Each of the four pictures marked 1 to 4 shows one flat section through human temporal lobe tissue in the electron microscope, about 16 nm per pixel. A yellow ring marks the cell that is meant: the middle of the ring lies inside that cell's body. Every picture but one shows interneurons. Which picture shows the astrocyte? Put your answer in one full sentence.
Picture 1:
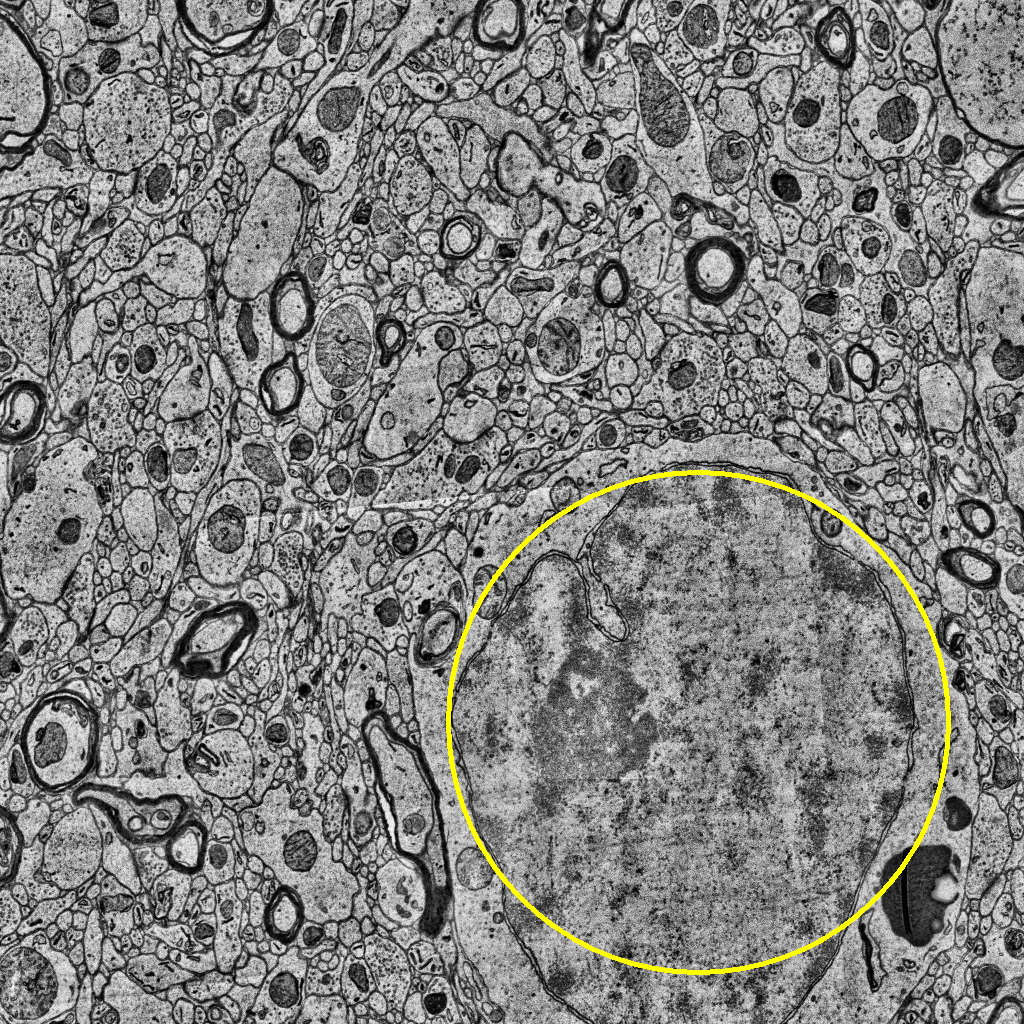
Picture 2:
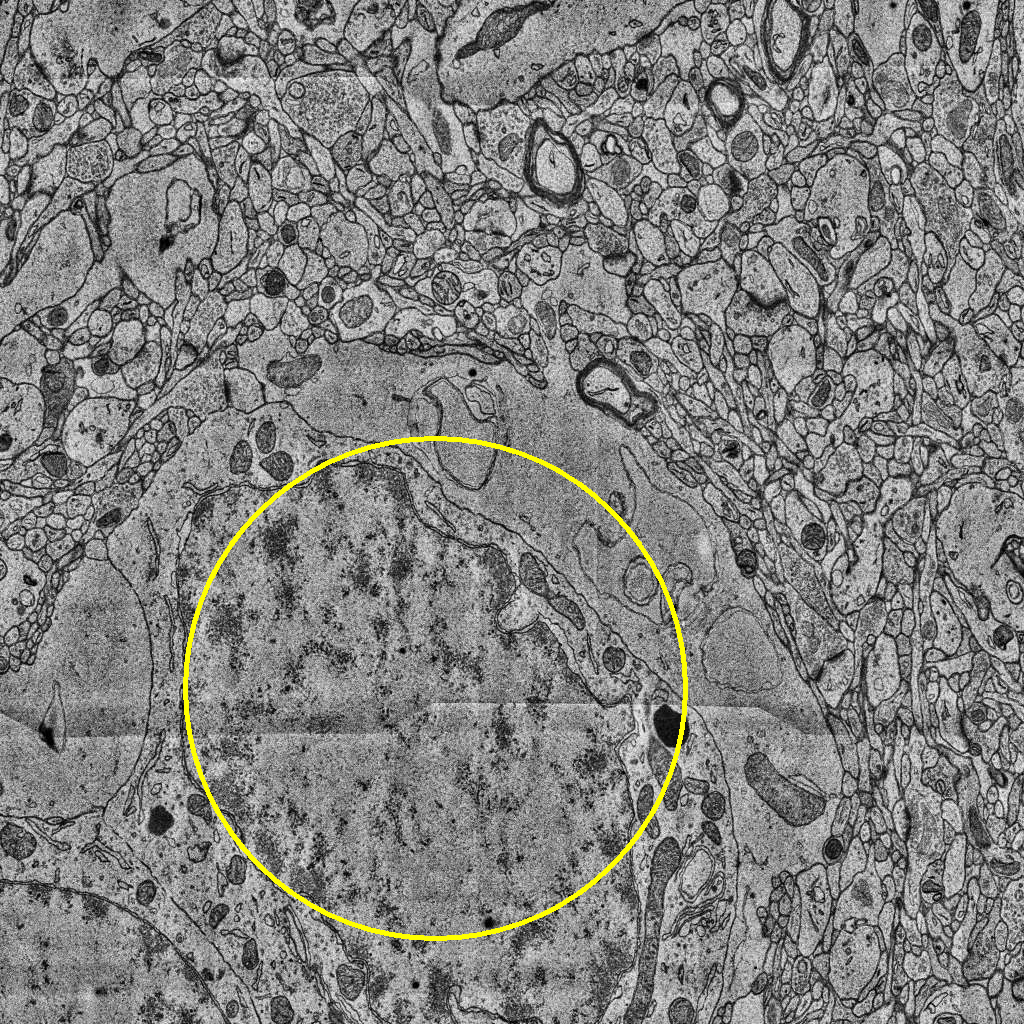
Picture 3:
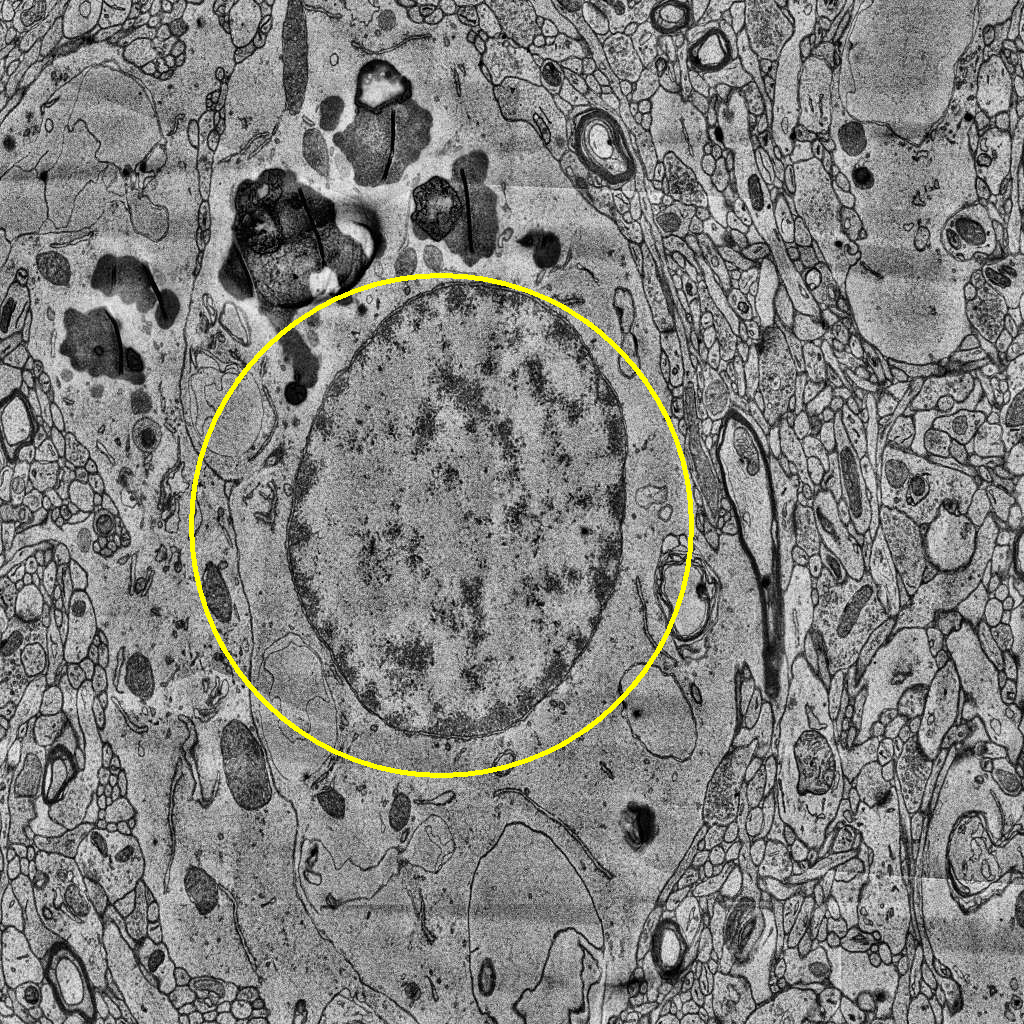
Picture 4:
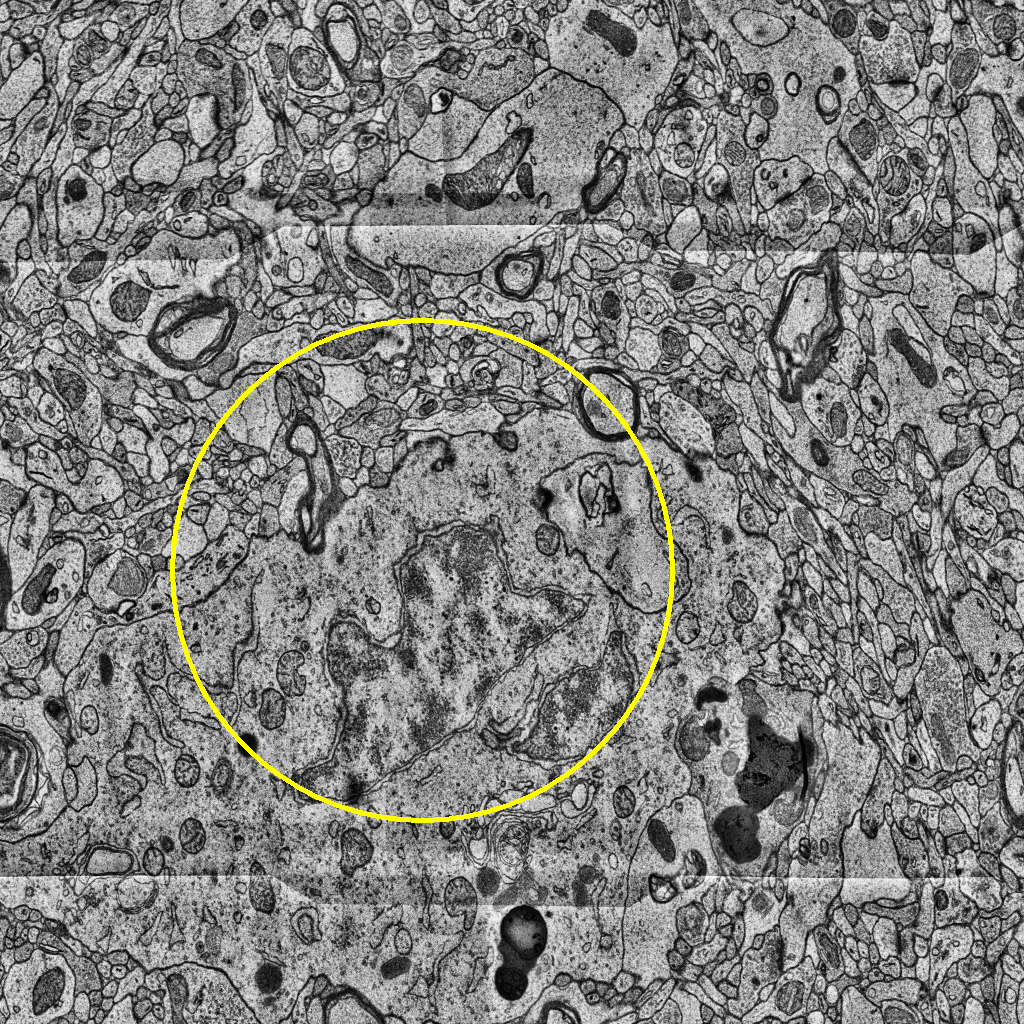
The astrocyte is the one in picture 3.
